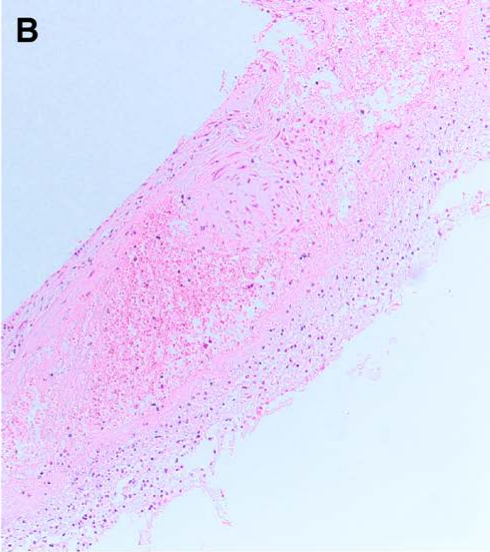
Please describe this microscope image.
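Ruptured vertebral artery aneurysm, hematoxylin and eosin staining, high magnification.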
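This is a strip of damaged arterial wall in which pale pink, loose fibrillar tissue holds scattered small dark purple nuclei. A central band of pink, finely granular material consistent with extravasated red blood cells lies within the wall, with scattered small round nuclei of inflammatory cells among it. The tissue is loosely arranged with clear gaps and spaces.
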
